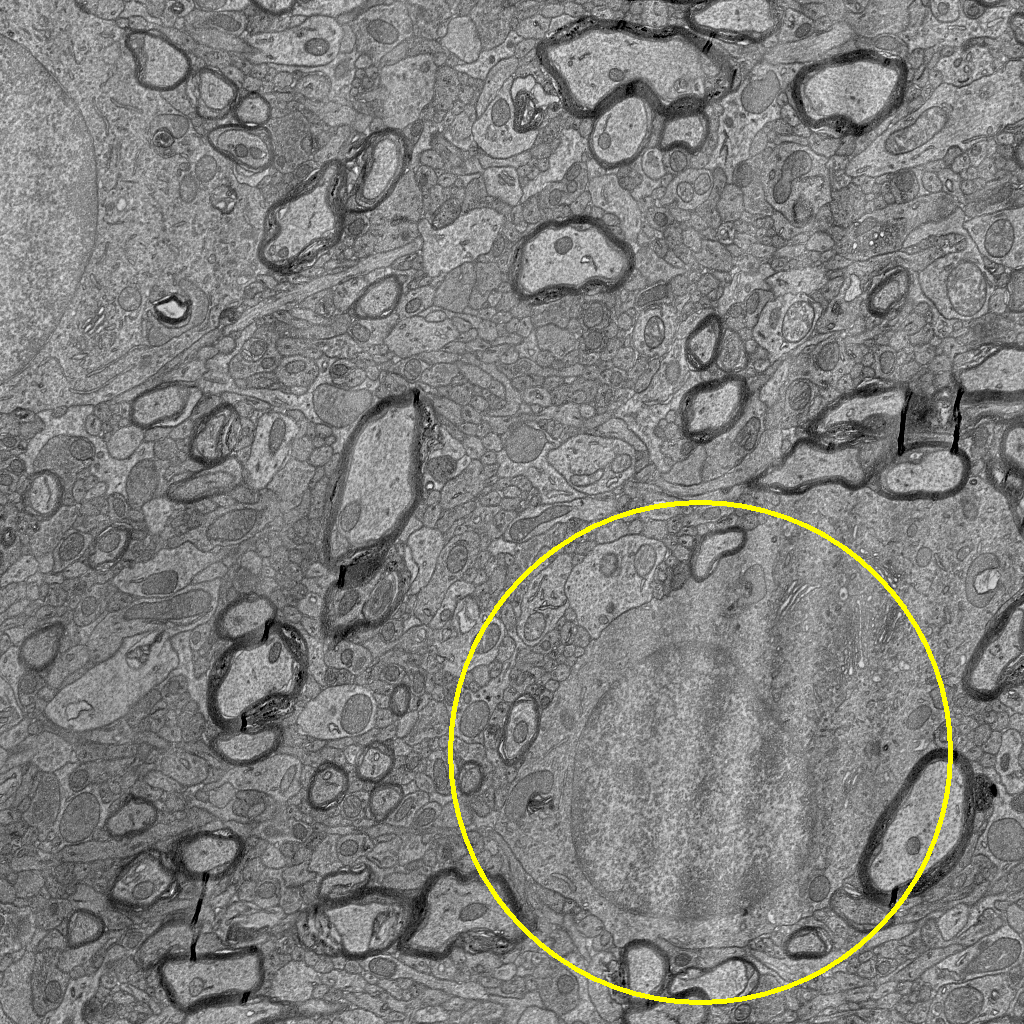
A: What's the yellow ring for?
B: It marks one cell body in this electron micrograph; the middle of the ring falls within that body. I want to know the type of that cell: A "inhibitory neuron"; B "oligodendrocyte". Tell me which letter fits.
B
